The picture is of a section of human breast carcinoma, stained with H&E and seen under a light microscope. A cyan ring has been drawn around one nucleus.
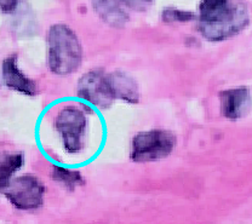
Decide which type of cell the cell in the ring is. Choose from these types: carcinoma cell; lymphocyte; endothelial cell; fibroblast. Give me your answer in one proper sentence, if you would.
Histopathologically, the cell in the ring is a carcinoma cell.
